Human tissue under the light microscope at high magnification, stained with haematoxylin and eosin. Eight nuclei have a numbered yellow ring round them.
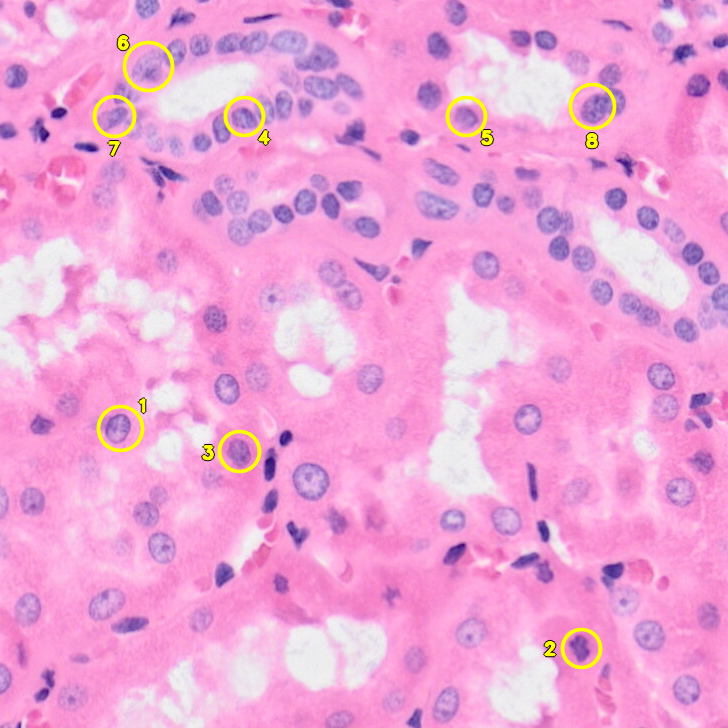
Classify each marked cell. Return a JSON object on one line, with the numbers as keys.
{"1": "proximal tubule cell", "2": "proximal tubule cell", "3": "proximal tubule cell", "4": "collecting duct cell", "5": "loop of Henle or distal tubule cell", "6": "collecting duct cell", "7": "collecting duct cell", "8": "loop of Henle or distal tubule cell"}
